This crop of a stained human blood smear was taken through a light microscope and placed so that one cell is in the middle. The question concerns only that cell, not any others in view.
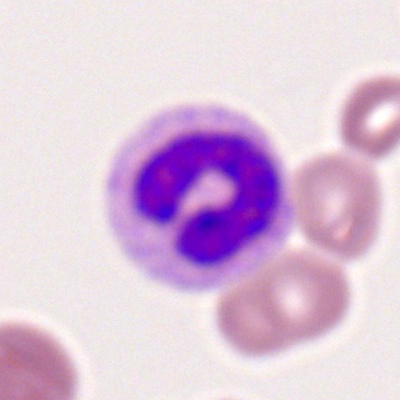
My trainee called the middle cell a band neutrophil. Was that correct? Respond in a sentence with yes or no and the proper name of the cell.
Yes, the cell here in the middle is a band neutrophil.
